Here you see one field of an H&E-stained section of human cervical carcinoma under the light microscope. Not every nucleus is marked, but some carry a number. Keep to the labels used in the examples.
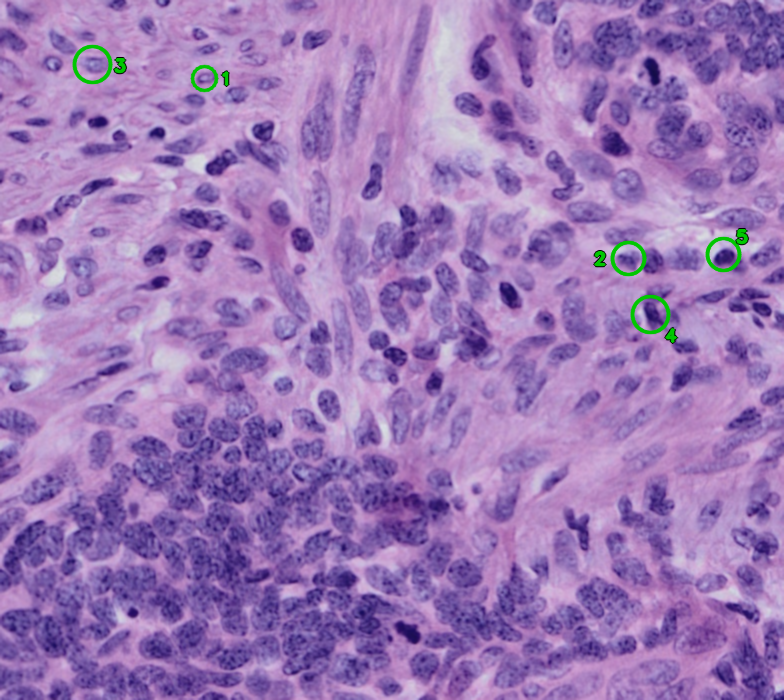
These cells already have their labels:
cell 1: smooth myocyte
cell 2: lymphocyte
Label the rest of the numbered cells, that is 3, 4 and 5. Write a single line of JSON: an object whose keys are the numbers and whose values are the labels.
{"3": "smooth myocyte", "4": "lymphocyte", "5": "lymphocyte"}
